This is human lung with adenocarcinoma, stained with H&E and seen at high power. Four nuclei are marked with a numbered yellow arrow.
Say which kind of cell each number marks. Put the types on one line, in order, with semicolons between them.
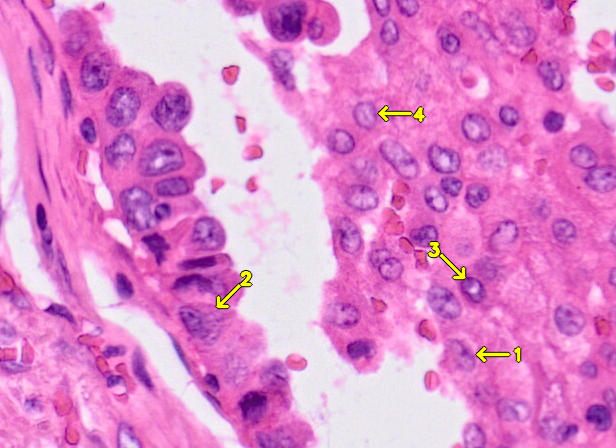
macrophage or monocyte; carcinoma cell; macrophage or monocyte; macrophage or monocyte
